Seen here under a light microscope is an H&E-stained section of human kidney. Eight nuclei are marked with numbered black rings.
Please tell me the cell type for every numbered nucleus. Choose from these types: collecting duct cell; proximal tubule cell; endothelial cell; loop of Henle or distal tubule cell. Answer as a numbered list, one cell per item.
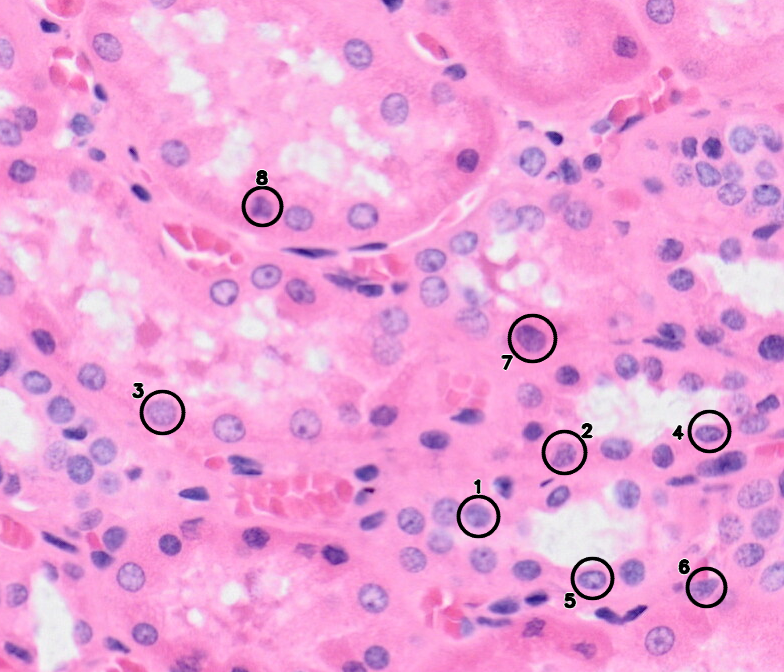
1. loop of Henle or distal tubule cell
2. loop of Henle or distal tubule cell
3. proximal tubule cell
4. loop of Henle or distal tubule cell
5. loop of Henle or distal tubule cell
6. endothelial cell
7. proximal tubule cell
8. proximal tubule cell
